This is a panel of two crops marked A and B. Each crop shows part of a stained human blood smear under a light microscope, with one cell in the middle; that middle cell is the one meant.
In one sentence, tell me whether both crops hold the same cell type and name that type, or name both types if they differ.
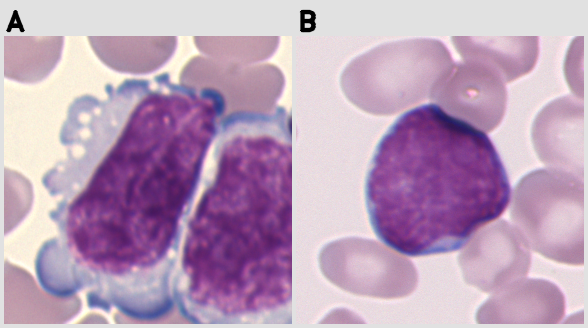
Yes, the cells in the centres of the two crops are blasts.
